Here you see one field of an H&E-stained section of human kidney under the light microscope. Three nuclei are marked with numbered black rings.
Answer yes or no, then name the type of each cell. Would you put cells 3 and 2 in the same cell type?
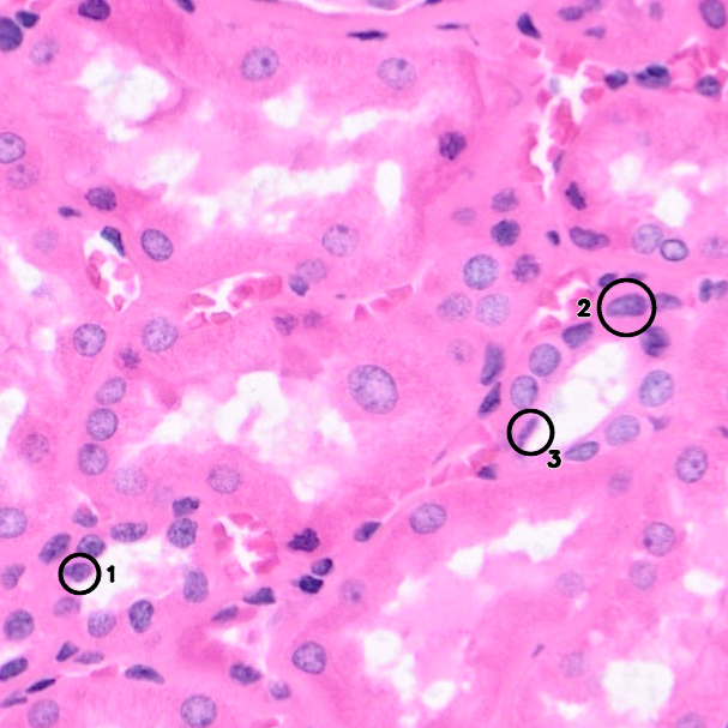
Yes, both are collecting duct cells.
